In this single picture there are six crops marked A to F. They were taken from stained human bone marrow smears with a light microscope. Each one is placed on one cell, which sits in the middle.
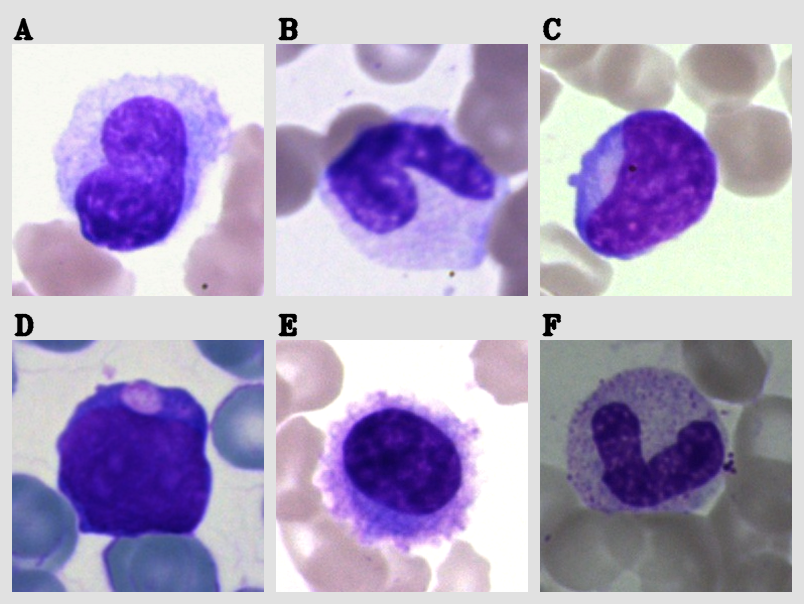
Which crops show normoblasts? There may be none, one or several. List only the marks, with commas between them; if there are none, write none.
none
